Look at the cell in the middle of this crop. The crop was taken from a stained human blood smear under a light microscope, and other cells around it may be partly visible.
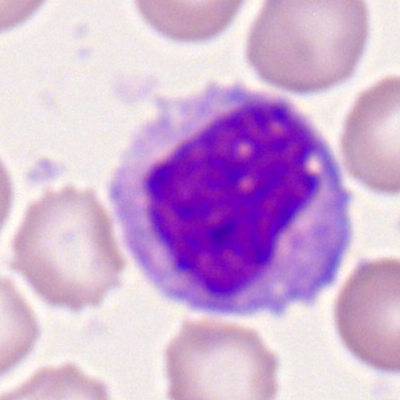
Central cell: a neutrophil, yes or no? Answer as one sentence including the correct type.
No, the cell placed at the center is a monocyte rather than a neutrophil.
